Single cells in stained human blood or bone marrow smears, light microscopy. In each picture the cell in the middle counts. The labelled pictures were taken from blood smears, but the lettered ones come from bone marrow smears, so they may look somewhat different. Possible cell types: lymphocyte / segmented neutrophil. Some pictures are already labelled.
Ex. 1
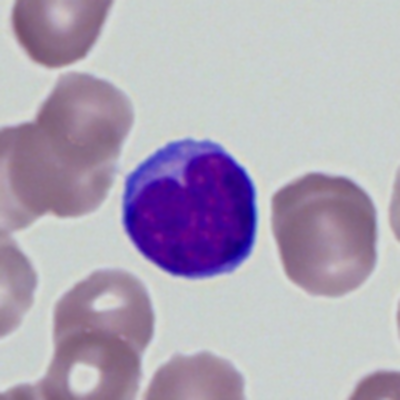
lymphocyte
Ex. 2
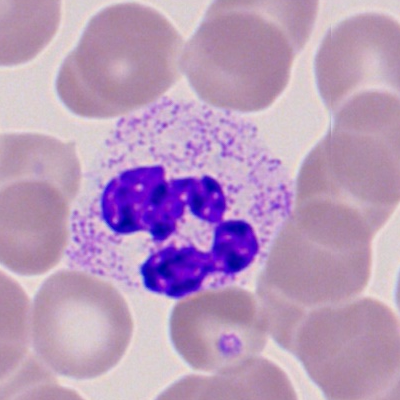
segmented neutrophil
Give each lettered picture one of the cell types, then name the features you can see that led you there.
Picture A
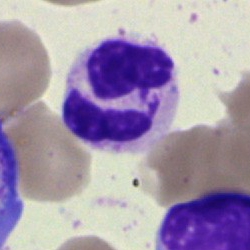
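Label: segmented neutrophil. The nucleus is a curved band folded into a C shape, its upper and lower limbs joined on the right.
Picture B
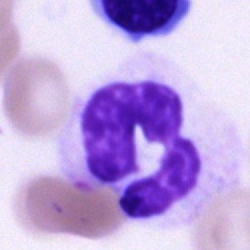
Label: segmented neutrophil. The nucleus is a curved band that bends around a small pale space in the middle of the cell.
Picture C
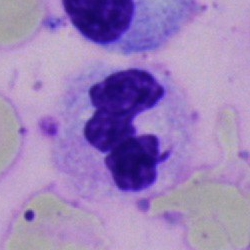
Label: segmented neutrophil. The cytoplasm forms a wide rim around the nucleus.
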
